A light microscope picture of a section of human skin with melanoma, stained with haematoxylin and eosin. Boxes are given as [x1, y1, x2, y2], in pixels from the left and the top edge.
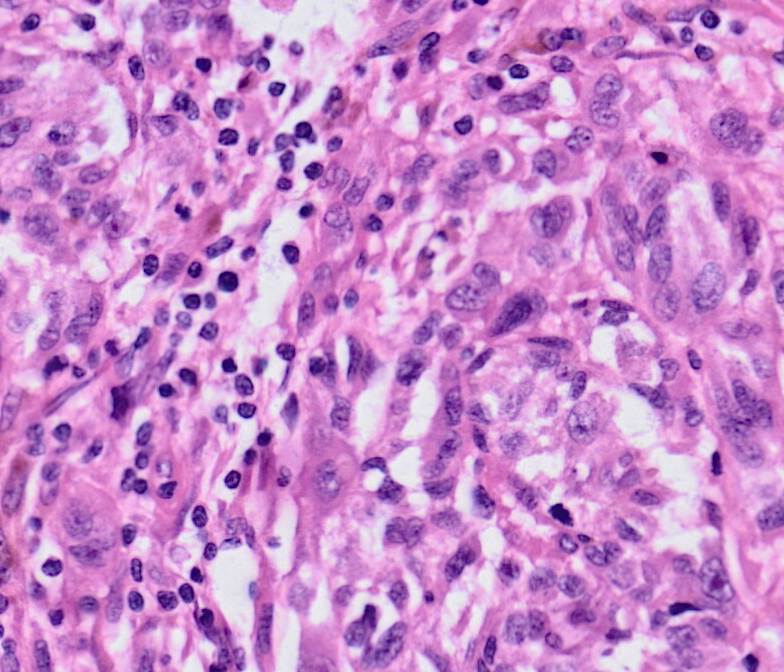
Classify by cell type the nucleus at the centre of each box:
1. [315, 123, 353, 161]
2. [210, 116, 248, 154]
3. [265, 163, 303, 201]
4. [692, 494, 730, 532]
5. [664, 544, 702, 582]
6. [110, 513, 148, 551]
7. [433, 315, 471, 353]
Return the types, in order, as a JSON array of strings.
["lymphocyte", "lymphocyte", "lymphocyte", "macrophage or monocyte", "melanoma cell", "lymphocyte", "melanoma cell"]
